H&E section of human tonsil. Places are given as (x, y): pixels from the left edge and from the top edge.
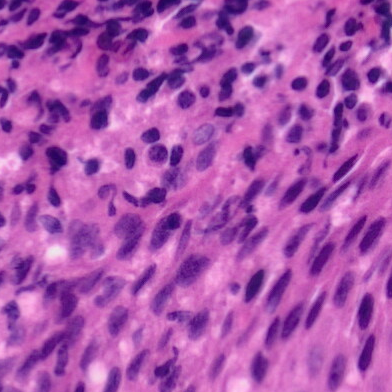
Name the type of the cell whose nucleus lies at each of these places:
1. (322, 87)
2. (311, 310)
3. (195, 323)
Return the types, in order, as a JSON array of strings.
["plasma cell", "squamous epithelial cell", "squamous epithelial cell"]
